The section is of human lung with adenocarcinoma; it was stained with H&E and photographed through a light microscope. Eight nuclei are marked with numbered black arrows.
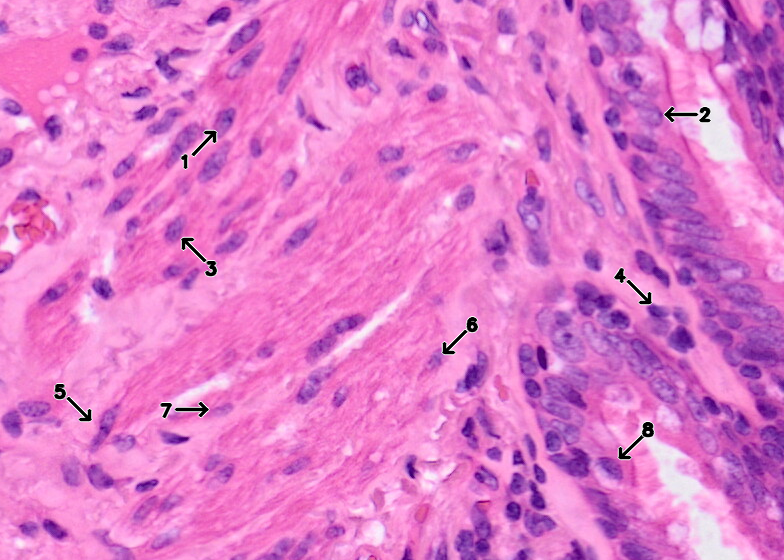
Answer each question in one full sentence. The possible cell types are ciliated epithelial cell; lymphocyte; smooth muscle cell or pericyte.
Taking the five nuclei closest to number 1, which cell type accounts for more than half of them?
Smooth muscle cells or pericytes make up most of the five nuclei closest to number 1.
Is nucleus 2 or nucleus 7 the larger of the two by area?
The larger nucleus is 2, at roughly 2 times the area of 7.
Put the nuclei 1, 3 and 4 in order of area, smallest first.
From smallest to largest, the order is 4, 3, 1.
